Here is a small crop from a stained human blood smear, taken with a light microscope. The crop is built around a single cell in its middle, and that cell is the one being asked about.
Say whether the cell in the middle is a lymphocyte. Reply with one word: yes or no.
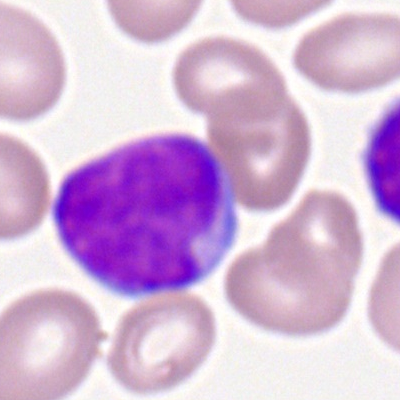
no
